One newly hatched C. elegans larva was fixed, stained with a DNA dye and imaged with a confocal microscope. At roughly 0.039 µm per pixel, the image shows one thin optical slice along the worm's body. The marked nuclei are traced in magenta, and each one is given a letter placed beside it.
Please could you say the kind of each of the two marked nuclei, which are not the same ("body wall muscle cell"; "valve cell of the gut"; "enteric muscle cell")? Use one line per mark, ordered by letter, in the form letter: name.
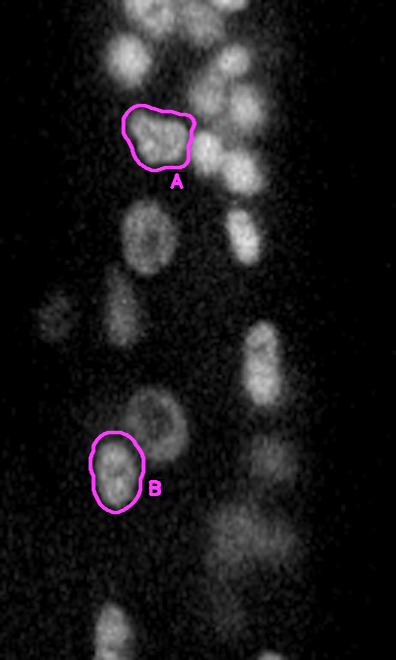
A: valve cell of the gut
B: body wall muscle cell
